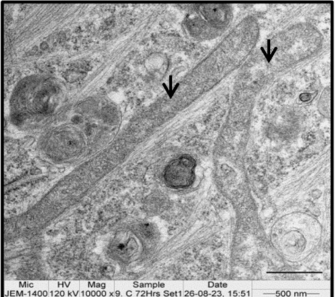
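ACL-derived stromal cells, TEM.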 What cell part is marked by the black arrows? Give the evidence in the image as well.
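The arrows point to long tubular organelles bounded by a membrane. These organelles have a dense matrix crossed by fine transverse lines.
Answer: mitochondria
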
